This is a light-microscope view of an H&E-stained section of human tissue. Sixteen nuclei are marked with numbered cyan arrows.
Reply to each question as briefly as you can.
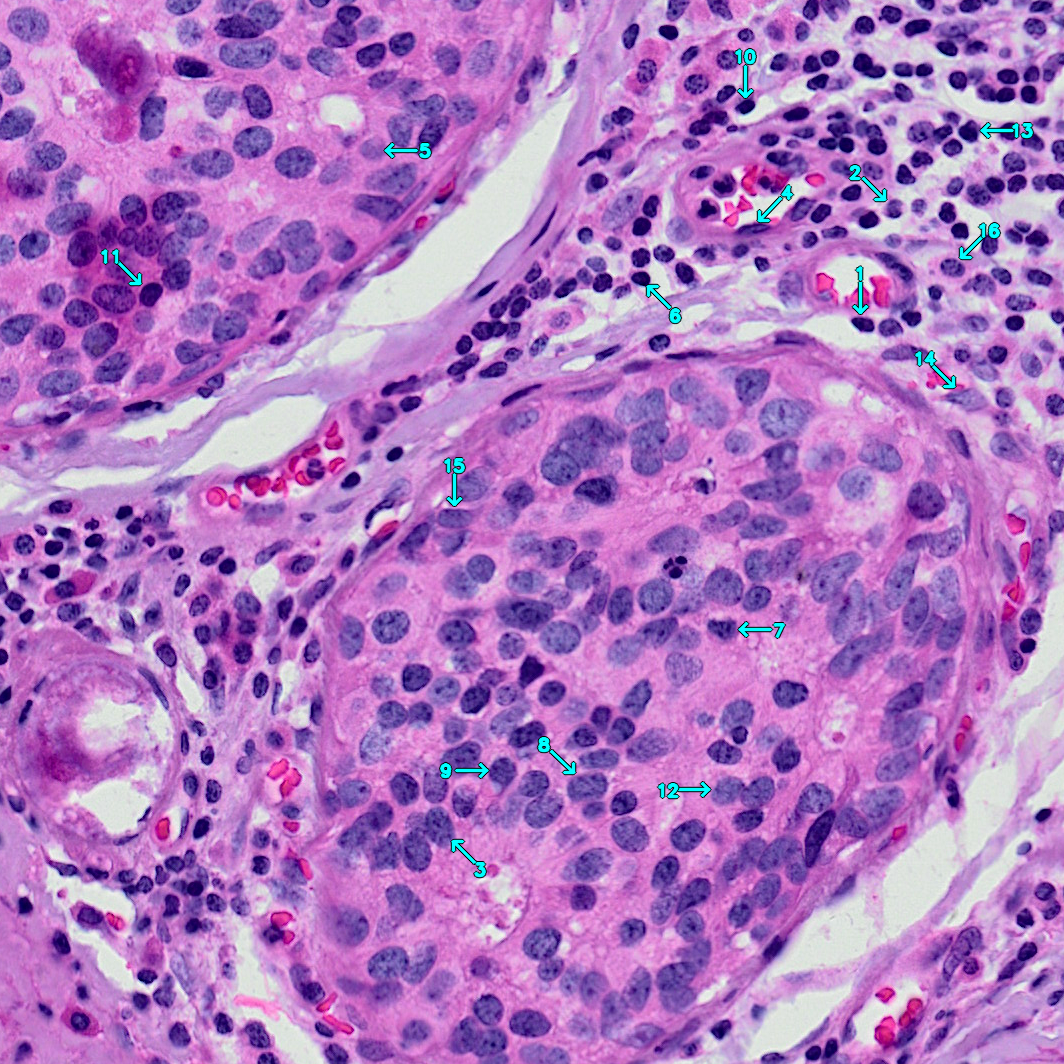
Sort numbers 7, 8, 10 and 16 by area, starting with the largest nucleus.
8, 7, 16, 10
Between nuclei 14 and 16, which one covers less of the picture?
16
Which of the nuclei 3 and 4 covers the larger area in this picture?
3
